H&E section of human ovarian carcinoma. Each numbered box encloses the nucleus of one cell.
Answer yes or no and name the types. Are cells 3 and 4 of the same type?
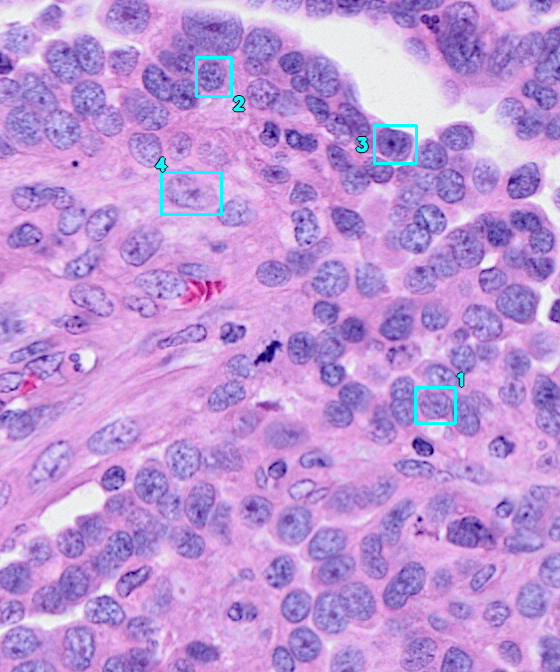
No, whereas cell 4 is a fibroblast, cell 3 is a carcinoma cell.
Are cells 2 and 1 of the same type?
Yes, cell number 2 and cell number 1 are both carcinoma cells.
